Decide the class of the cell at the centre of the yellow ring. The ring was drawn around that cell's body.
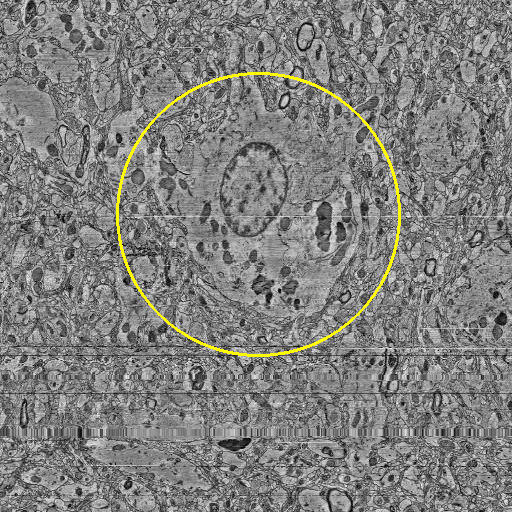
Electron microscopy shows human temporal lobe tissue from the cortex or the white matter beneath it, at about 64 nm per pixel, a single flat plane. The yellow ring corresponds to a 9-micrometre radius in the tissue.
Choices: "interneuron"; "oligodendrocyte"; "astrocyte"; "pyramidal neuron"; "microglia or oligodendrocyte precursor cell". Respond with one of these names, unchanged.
astrocyte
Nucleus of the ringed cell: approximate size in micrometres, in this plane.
The nucleus appears roughly 6 by 4 micrometres in this plane.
